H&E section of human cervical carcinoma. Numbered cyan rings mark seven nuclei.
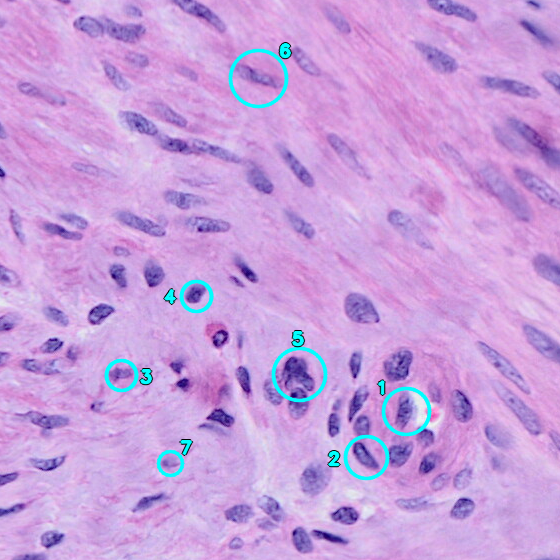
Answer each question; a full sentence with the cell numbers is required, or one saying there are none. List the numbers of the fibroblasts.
Where the numbered cells are concerned, only number 4 is a fibroblast.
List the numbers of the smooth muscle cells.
The cells numbered 2, 3, 6 and 7 fall into the category of smooth muscle cells.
